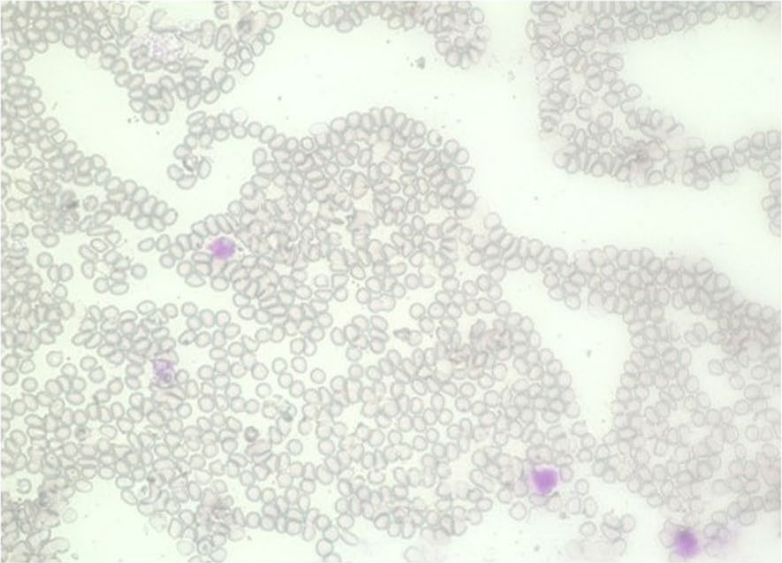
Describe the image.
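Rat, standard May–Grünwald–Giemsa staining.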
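This is a blood smear in which most cells are red blood cells, with a few white blood cells scattered among them. The red blood cells are pale, round discs of fairly uniform size that show no nucleus. They lie closely packed in bands and branching chains, leaving clear cell-free spaces between them. A small number of cells stand out with dense purple staining. These purple cells lie singly, spread across the field among the pale red blood cells.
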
